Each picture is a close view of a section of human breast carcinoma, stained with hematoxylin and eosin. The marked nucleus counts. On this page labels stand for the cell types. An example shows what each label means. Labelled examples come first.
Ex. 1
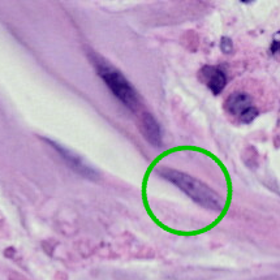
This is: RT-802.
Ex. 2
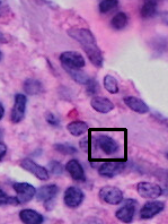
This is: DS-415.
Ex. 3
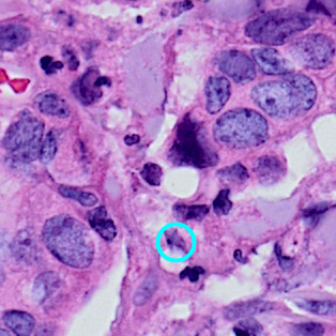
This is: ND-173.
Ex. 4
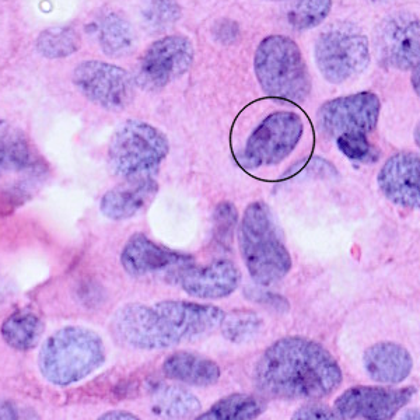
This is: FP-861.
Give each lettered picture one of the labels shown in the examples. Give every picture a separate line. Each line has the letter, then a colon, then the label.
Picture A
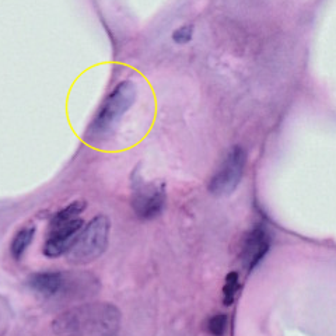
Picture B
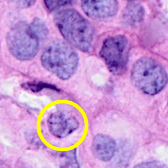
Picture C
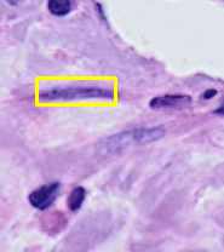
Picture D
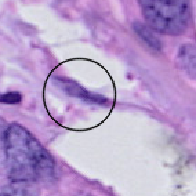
A: RT-802.
B: ND-173.
C: RT-802.
D: RT-802.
